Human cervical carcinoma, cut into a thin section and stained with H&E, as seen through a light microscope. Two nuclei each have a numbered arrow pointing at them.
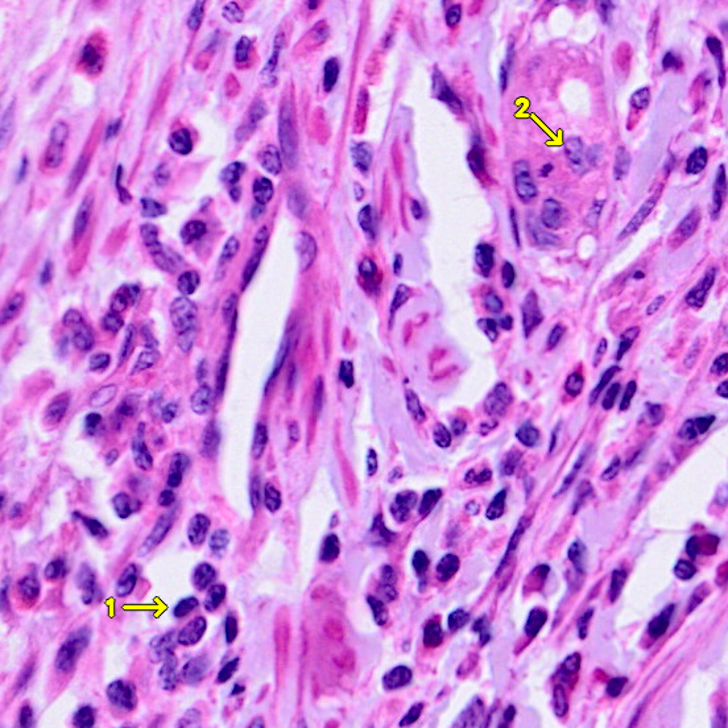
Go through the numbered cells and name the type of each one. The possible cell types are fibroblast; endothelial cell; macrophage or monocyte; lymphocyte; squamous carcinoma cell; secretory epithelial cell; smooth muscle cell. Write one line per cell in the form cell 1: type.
cell 1: lymphocyte
cell 2: endothelial cell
